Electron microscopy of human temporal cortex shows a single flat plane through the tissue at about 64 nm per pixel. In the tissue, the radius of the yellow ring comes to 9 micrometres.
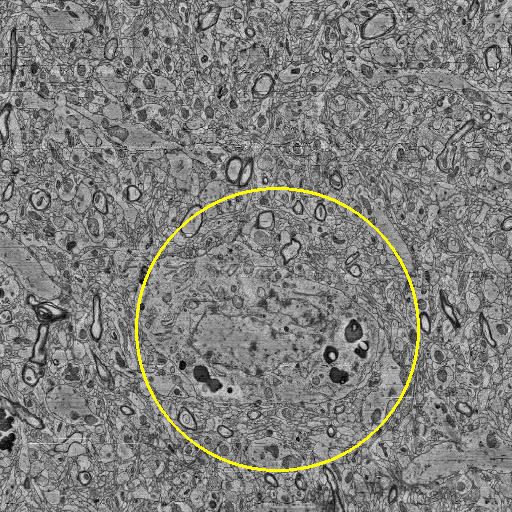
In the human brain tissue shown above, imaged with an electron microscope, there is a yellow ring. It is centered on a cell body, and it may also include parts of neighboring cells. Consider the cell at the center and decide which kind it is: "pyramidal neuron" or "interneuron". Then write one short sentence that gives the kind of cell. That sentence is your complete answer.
This centered cell body is that of an interneuron.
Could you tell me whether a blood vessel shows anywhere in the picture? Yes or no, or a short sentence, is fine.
No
